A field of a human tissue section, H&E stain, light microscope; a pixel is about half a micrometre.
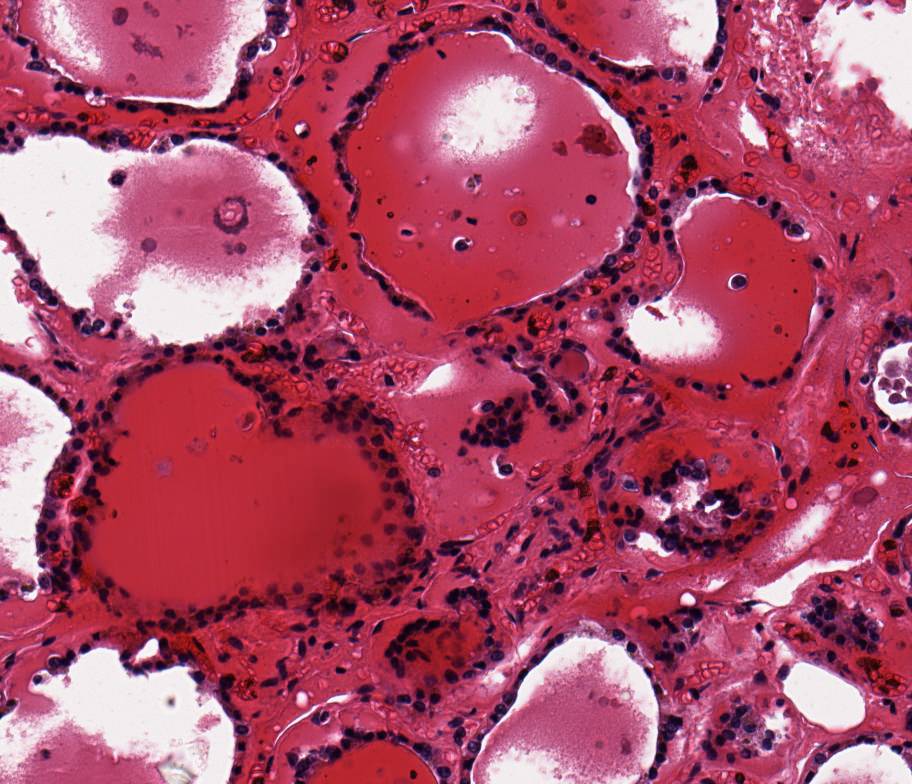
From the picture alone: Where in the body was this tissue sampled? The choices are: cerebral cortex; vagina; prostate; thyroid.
thyroid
